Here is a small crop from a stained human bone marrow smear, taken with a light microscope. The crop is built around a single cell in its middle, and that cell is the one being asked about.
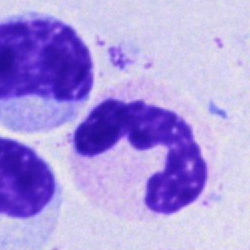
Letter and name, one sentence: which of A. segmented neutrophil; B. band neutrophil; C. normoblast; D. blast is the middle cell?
Here the right option is A, as the cell in the middle is a segmented neutrophil.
